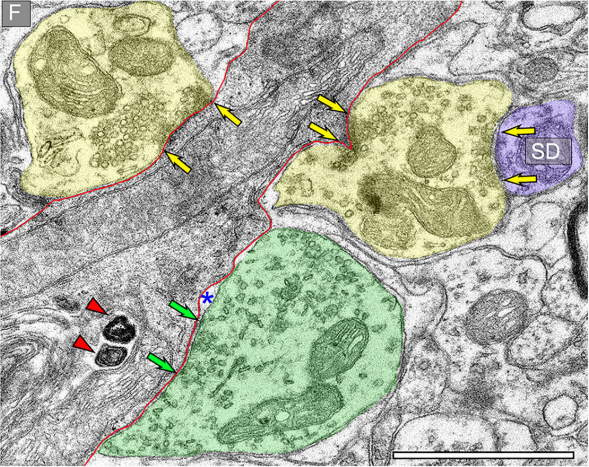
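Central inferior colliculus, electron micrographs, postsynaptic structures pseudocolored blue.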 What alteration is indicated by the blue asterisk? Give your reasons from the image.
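Gaping. A small pale space separates the membranes beside the green terminal's contact.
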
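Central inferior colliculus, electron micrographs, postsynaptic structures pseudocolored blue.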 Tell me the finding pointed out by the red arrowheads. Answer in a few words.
Dark whorls/membrane inclusions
